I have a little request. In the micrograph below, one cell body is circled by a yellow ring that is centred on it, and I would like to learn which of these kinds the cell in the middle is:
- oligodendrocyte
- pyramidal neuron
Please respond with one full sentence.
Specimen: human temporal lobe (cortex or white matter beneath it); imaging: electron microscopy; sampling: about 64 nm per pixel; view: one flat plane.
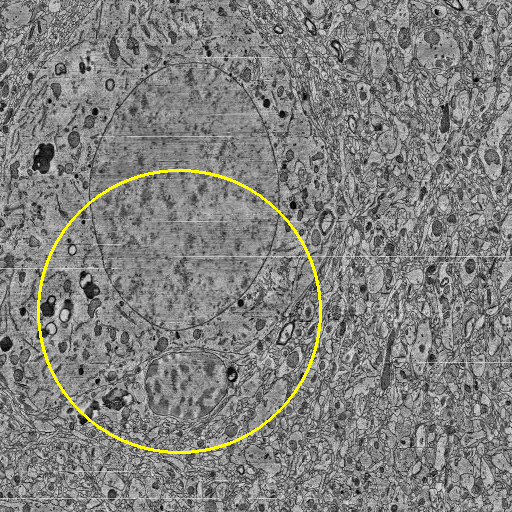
The cell sitting in the middle of the yellow ring in the micrograph is a pyramidal neuron.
